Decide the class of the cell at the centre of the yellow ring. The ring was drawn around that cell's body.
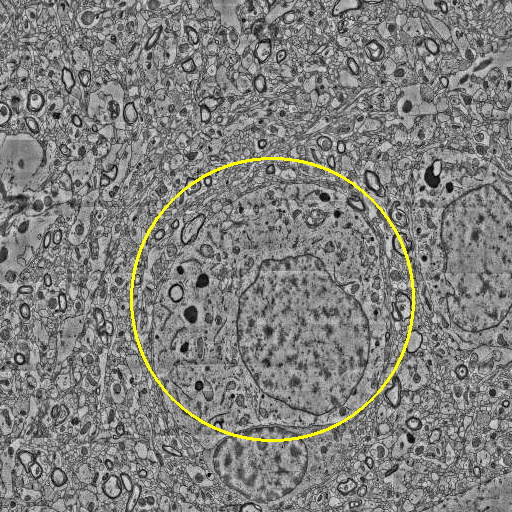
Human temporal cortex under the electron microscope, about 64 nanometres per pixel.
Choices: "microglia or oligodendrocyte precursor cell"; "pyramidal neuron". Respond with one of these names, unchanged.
pyramidal neuron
